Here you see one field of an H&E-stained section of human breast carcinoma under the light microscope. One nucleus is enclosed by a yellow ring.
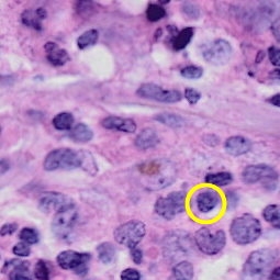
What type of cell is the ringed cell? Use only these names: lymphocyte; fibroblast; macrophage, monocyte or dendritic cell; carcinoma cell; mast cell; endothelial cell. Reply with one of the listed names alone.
lymphocyte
